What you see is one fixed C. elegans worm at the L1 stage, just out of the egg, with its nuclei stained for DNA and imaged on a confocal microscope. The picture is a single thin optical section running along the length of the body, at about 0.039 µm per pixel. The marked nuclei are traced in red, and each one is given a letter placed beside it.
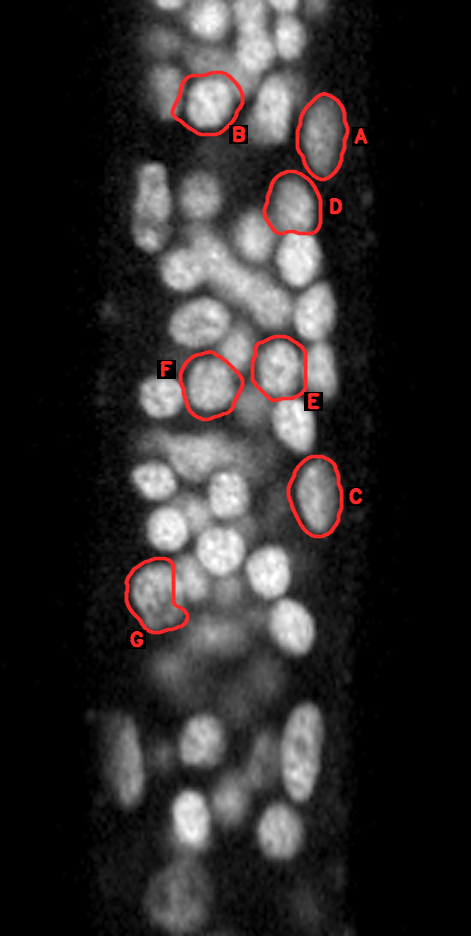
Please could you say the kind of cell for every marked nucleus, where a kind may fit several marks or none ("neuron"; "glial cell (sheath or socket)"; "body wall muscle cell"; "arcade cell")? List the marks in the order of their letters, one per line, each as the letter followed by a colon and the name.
A: body wall muscle cell
B: neuron
C: body wall muscle cell
D: body wall muscle cell
E: neuron
F: neuron
G: glial cell (sheath or socket)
